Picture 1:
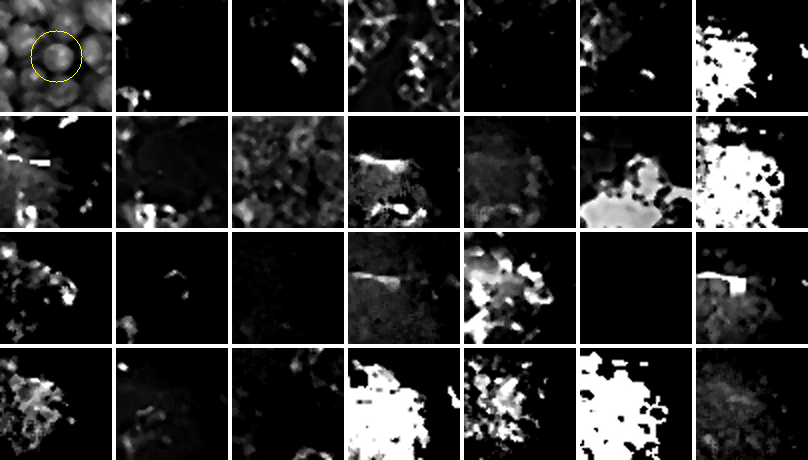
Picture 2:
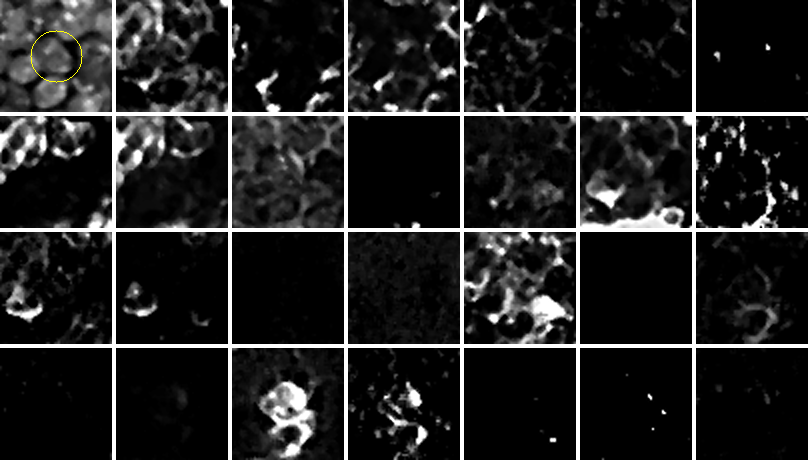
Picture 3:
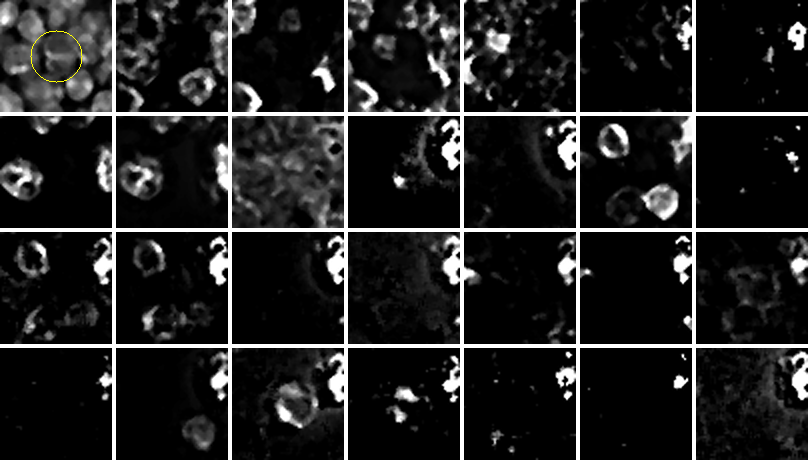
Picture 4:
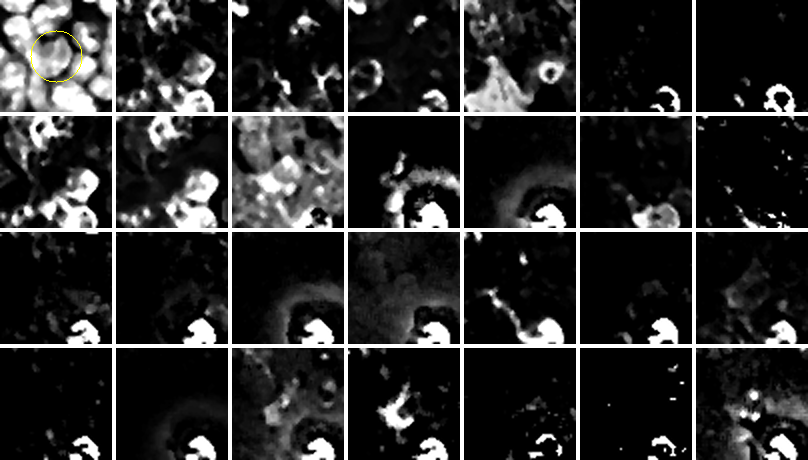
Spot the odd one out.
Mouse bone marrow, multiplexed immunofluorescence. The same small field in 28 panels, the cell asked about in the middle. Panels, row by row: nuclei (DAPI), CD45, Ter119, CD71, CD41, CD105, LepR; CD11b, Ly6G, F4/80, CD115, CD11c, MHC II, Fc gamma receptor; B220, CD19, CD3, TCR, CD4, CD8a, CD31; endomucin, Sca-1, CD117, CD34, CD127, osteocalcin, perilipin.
Picture 1 (a LepR-positive perivascular cell among common myeloid progenitors).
